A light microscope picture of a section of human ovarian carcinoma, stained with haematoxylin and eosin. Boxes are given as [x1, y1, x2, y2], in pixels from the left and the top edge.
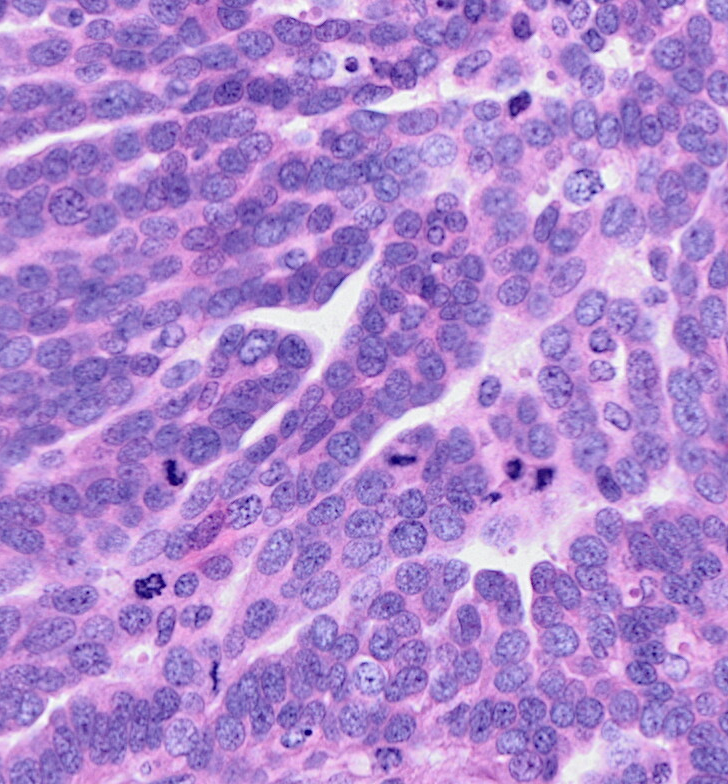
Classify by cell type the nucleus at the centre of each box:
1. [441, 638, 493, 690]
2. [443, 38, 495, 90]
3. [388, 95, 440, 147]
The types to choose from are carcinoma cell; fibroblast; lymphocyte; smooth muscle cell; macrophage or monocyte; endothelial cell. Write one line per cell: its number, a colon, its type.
1: carcinoma cell
2: macrophage or monocyte
3: carcinoma cell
